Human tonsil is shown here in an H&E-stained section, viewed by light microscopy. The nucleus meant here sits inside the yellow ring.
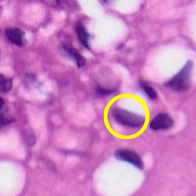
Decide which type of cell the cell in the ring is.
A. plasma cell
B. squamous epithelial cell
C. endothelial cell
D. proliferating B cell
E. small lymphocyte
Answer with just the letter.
B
